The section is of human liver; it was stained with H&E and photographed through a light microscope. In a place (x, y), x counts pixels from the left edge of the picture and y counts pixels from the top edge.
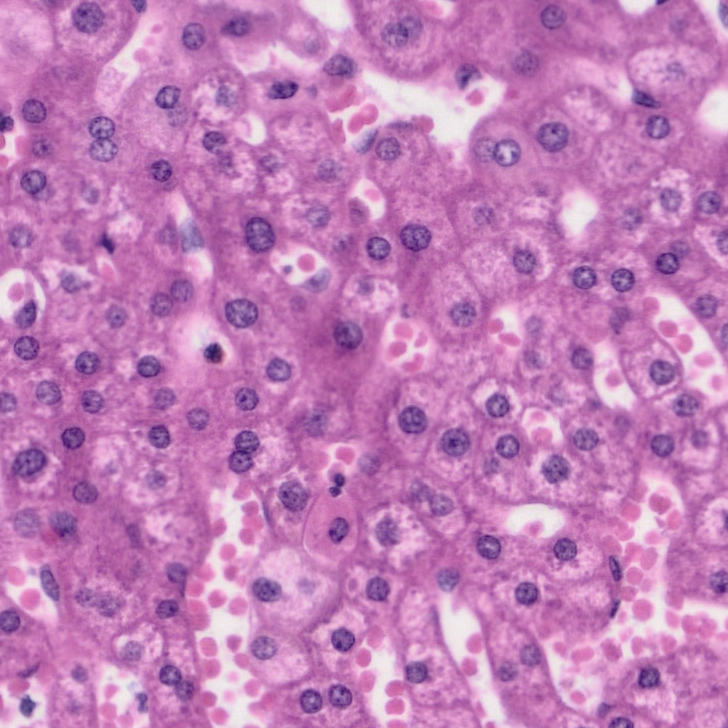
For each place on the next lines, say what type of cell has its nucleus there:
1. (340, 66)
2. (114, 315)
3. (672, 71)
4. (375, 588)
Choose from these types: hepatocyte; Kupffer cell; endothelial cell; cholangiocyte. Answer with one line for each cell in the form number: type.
1: Kupffer cell
2: hepatocyte
3: hepatocyte
4: hepatocyte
